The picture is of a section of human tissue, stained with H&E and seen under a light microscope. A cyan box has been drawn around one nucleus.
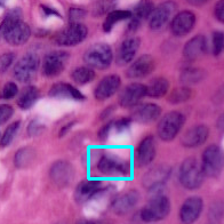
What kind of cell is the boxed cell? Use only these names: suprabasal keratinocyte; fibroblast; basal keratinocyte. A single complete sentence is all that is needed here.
Cytologically, the boxed cell is to be regarded as a basal keratinocyte.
